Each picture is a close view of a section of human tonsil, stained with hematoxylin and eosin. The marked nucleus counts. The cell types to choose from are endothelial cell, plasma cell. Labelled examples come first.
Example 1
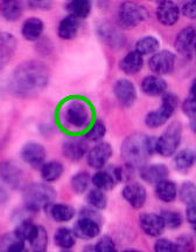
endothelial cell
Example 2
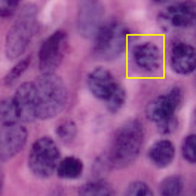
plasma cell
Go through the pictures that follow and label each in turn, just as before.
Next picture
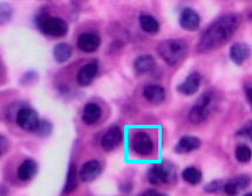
plasma cell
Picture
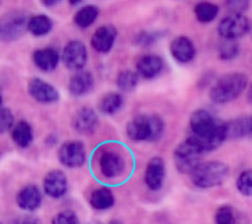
plasma cell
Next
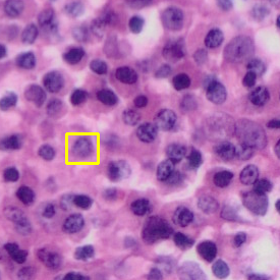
plasma cell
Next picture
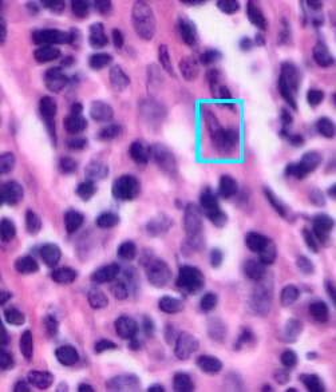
endothelial cell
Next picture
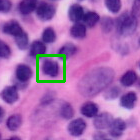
endothelial cell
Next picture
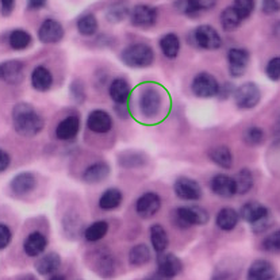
plasma cell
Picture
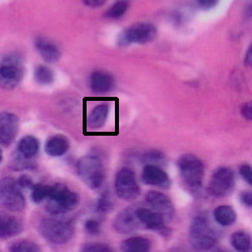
endothelial cell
